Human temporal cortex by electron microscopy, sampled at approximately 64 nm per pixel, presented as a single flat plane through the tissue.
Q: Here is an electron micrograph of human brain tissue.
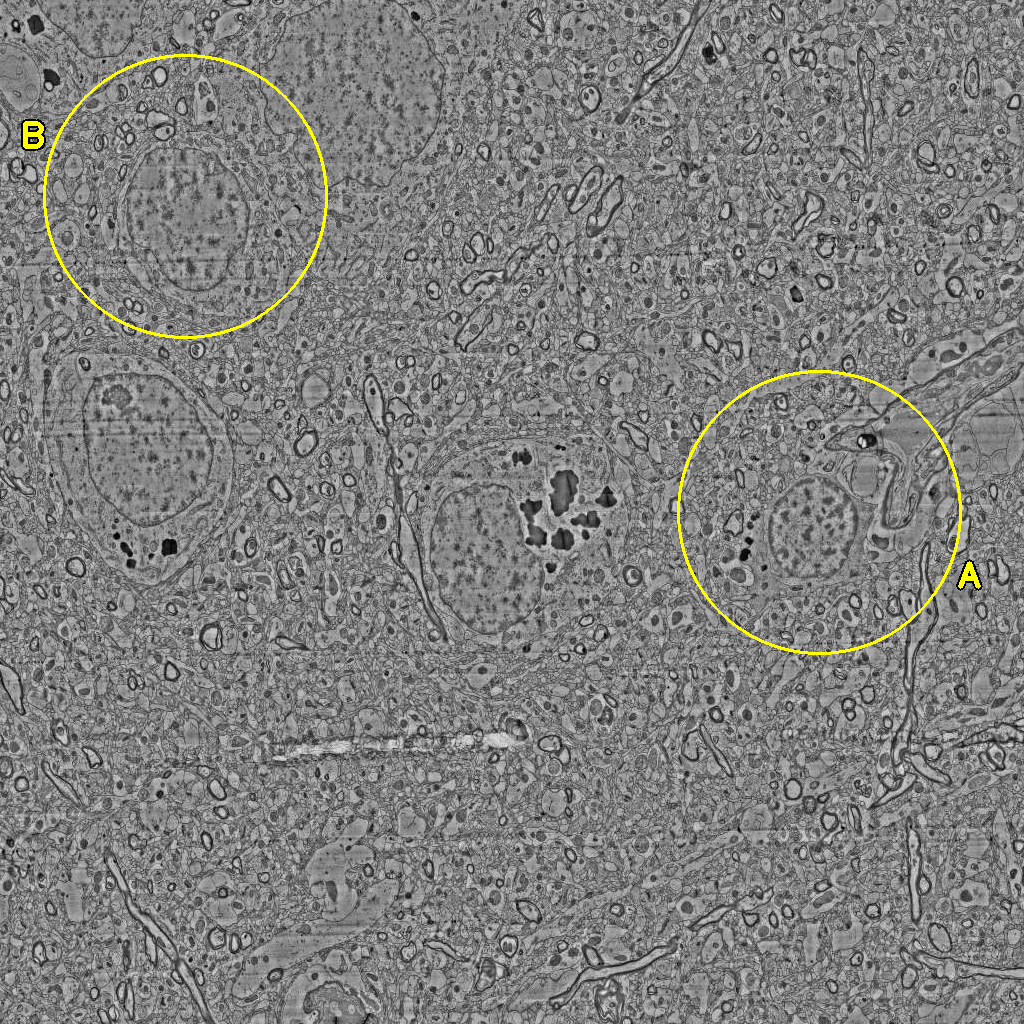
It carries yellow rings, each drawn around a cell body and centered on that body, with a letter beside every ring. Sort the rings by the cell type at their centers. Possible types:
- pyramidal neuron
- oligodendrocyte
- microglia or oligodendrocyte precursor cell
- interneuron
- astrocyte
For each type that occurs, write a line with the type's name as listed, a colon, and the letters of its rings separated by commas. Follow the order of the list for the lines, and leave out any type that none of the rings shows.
oligodendrocyte: A
interneuron: B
